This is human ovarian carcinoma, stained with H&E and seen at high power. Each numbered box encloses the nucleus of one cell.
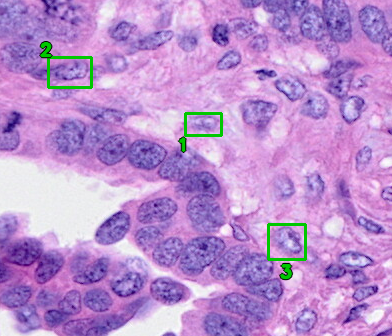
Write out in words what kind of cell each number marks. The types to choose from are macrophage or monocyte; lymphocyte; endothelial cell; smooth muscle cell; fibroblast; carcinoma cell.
Cells 1 and 3 are fibroblasts. Cell 2 is an endothelial cell.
